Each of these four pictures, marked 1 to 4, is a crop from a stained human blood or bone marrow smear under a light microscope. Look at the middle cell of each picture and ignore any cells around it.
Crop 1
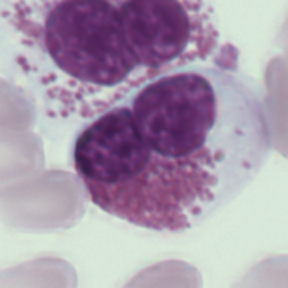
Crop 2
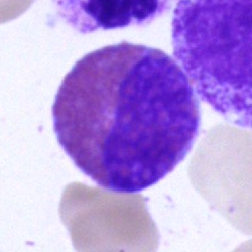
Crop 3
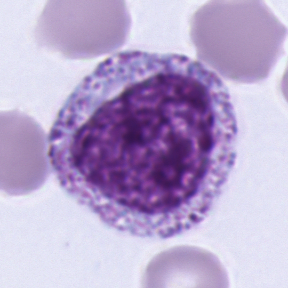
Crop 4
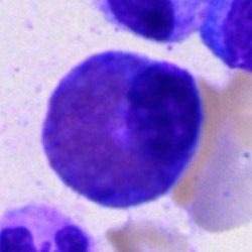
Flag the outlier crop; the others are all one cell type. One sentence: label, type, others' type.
Crop 3 does not fit, being a myelocyte where all the others show eosinophils.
